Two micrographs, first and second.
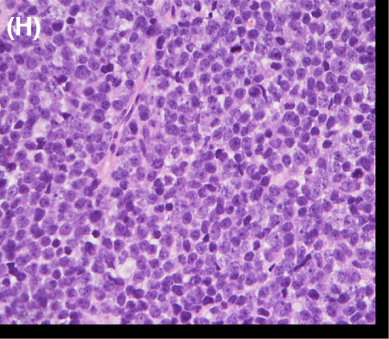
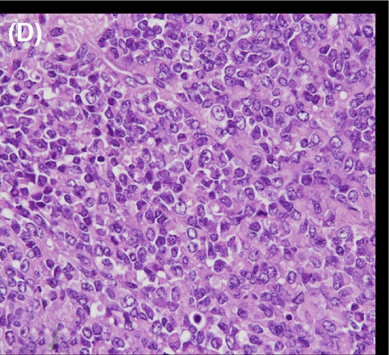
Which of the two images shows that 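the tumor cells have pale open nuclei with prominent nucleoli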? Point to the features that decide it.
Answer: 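First image: nuclei are small, round and uniformly dark blue with scant cytoplasm. Second image: nuclei are larger and pale with distinct dark nucleoli and more pink cytoplasm.
Hence: the second image.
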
